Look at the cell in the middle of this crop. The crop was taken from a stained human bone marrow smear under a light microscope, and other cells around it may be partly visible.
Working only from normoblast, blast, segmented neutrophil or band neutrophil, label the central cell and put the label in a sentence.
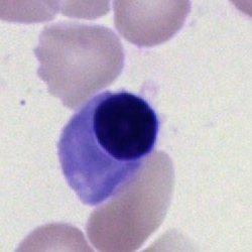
This particular crop is centered on a normoblast.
